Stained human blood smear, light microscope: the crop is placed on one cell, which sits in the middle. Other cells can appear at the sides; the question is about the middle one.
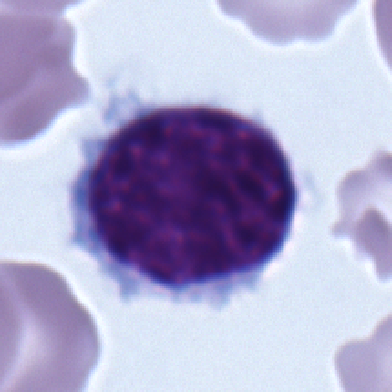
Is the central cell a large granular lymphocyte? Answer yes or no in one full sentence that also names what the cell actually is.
No, the cell occupying the centre is a hairy cell, not a large granular lymphocyte.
